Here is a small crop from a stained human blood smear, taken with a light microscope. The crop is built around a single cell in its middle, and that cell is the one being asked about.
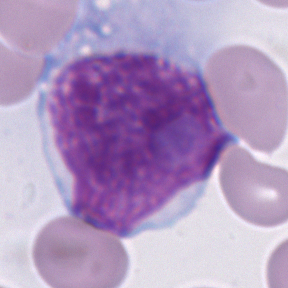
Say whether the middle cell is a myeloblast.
yes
